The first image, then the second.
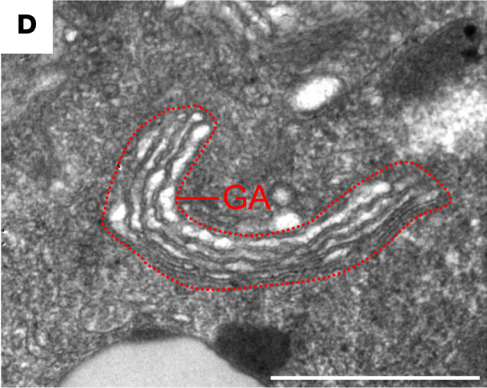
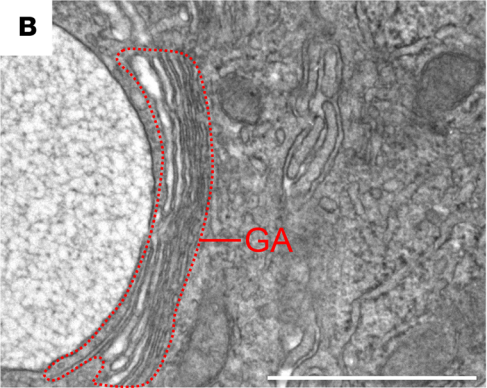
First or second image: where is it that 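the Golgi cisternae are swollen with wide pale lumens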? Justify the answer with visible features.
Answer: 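First image: the stacked cisternae are widened with clear pale spaces between membranes. Second image: the cisternae are thin, tightly packed parallel membranes with narrow lumens.
Conclusion: the first image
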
